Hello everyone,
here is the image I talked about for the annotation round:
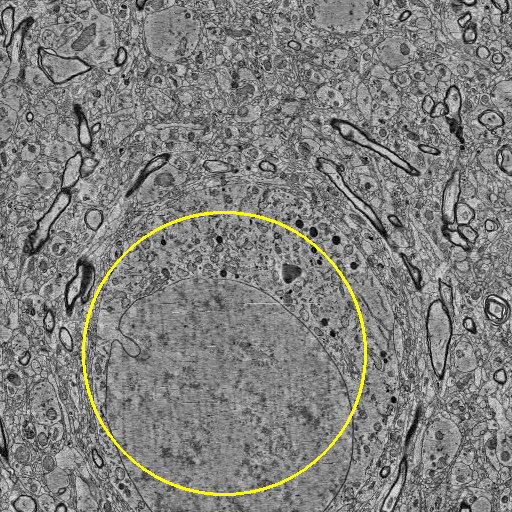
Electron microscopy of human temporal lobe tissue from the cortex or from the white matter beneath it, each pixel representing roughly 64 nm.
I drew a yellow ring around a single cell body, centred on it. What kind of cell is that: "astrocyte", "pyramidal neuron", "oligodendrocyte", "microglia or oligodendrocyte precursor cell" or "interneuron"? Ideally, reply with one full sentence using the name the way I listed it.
The cell your yellow ring is centred on is a pyramidal neuron, going by your list.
